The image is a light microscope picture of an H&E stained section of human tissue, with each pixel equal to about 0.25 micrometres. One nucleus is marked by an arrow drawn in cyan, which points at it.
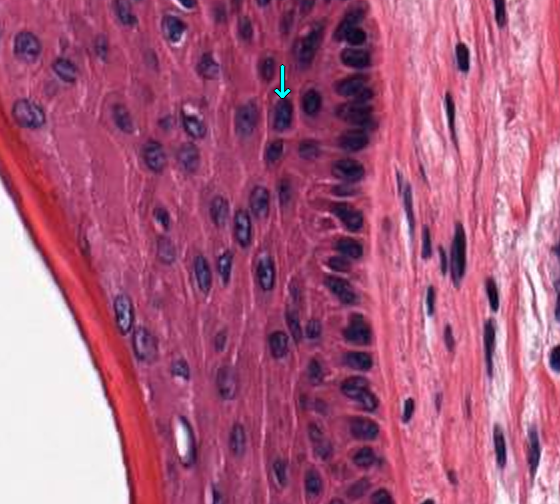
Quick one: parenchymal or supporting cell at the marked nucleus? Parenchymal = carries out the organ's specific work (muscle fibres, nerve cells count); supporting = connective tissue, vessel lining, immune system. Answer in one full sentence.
The marked nucleus is assigned to a parenchymal cell, namely a keratinocyte.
